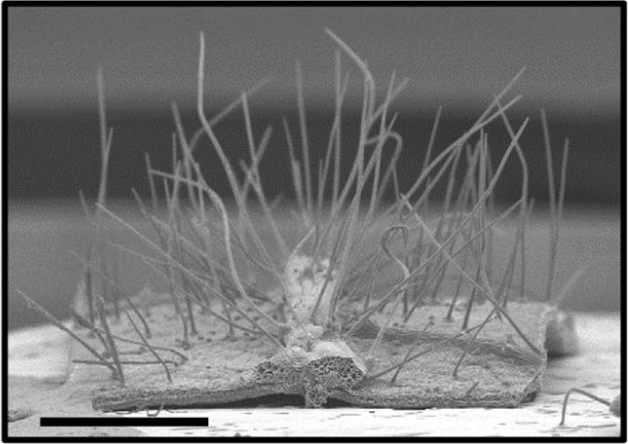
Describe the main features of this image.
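The leaf piece lies flat on the stub, with a raised central ridge where a vein runs. Many long, slender, unbranched hairs rise from the upper surface, tapering to fine points. Many stand nearly upright; others lean outward or bend and curve along their length, and a few loop. They reach far above the leaf, many times its thickness.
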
